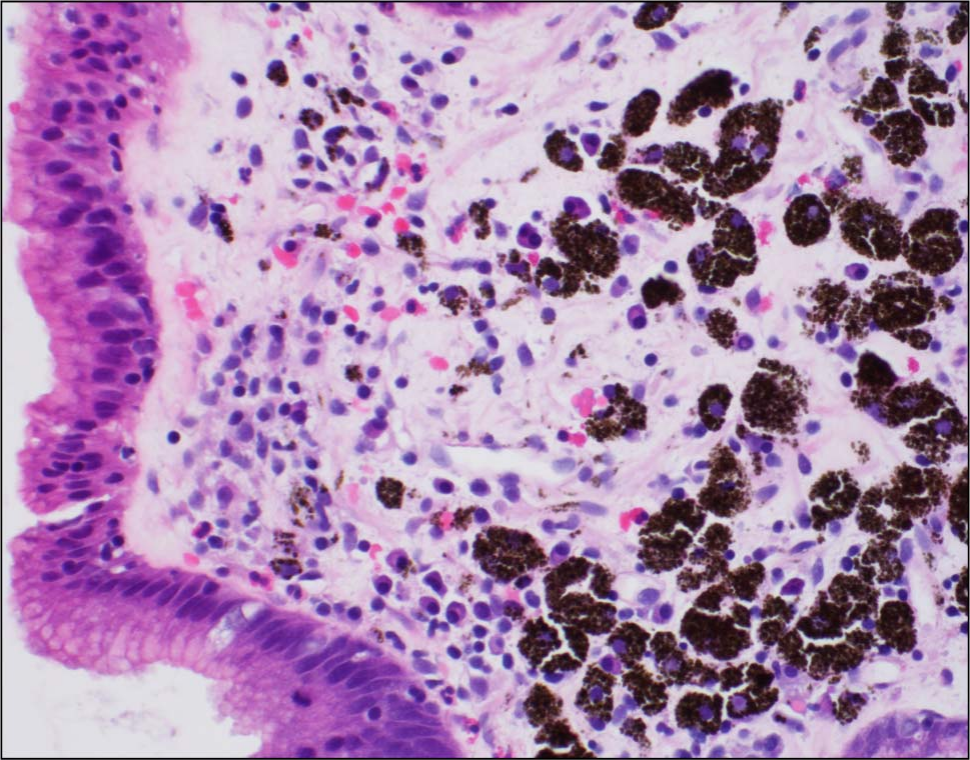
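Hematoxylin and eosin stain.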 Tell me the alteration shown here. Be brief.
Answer: Pseudomelanosis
